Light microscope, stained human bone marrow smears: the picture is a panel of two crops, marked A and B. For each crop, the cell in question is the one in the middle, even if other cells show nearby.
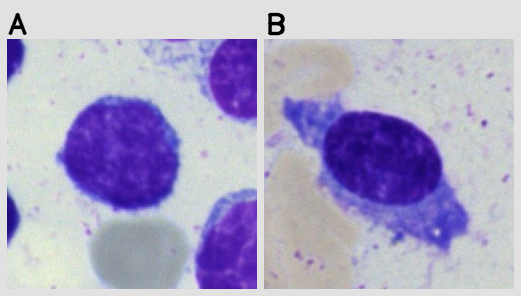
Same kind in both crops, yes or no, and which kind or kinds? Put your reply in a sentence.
No, crop A shows a lymphocyte and crop B shows a plasma cell.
